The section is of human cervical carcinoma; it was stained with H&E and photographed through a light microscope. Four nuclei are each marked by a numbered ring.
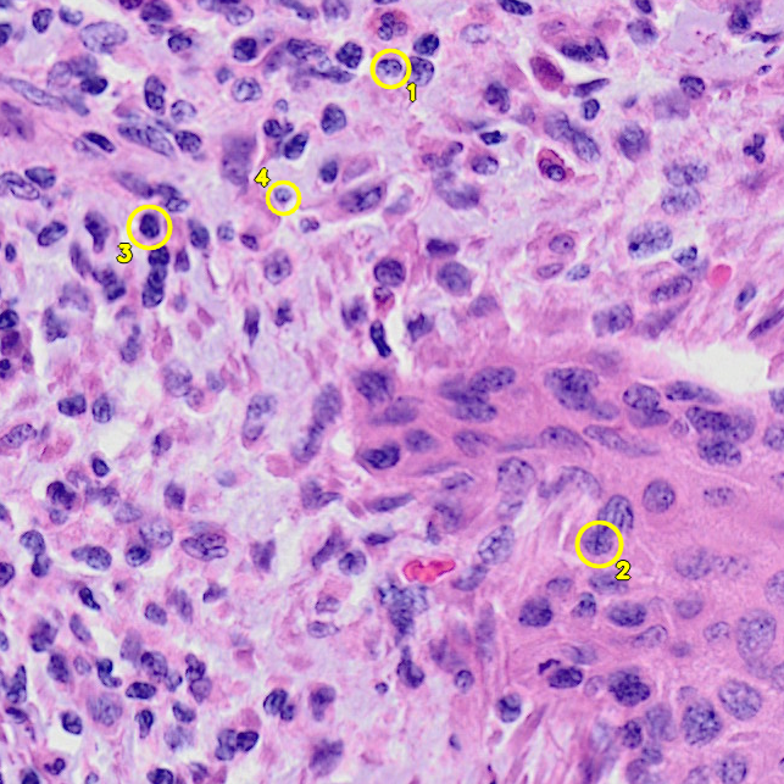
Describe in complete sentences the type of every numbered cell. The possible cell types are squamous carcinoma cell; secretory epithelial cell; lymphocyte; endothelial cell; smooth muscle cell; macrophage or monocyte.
Cells 1, 3 and 4 are lymphocytes. Cell 2 is a squamous carcinoma cell.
